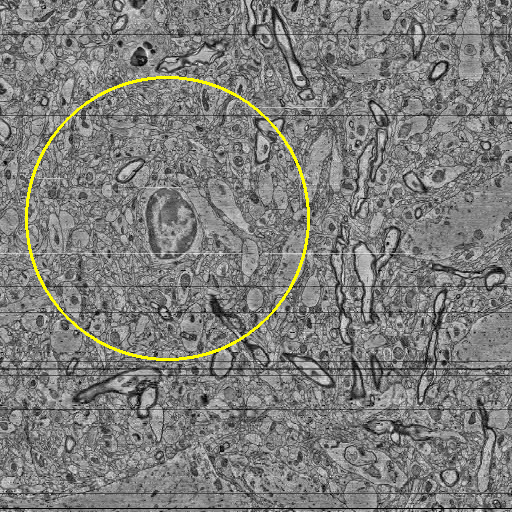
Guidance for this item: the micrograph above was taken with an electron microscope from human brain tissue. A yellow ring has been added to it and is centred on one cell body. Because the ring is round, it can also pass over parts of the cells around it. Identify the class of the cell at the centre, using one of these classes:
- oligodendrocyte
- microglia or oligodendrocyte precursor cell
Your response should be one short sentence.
The ring surrounds the body of a microglial cell or oligodendrocyte precursor cell.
